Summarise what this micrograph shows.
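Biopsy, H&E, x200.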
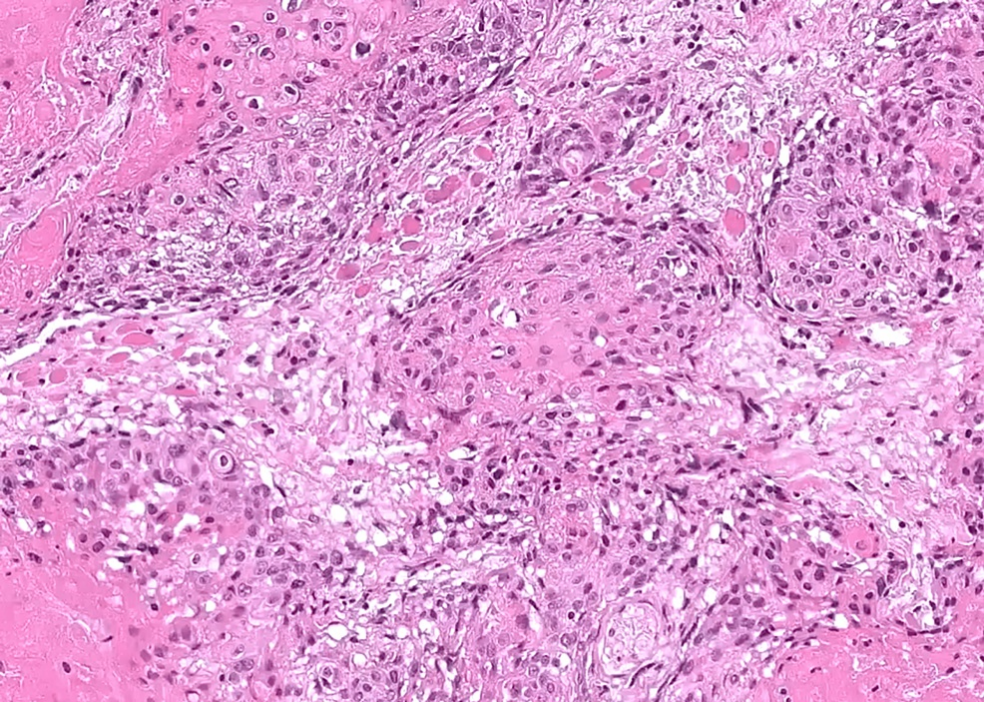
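This is a tissue proliferation made of polygonal cells arranged in irregular nests and sheets, separated by loose, pale pink stroma containing scattered spindle-shaped nuclei. Dense, homogeneous pink keratinised material borders the field on the left and bottom, and small concentric pink whorls of keratin lie within the cell nests.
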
